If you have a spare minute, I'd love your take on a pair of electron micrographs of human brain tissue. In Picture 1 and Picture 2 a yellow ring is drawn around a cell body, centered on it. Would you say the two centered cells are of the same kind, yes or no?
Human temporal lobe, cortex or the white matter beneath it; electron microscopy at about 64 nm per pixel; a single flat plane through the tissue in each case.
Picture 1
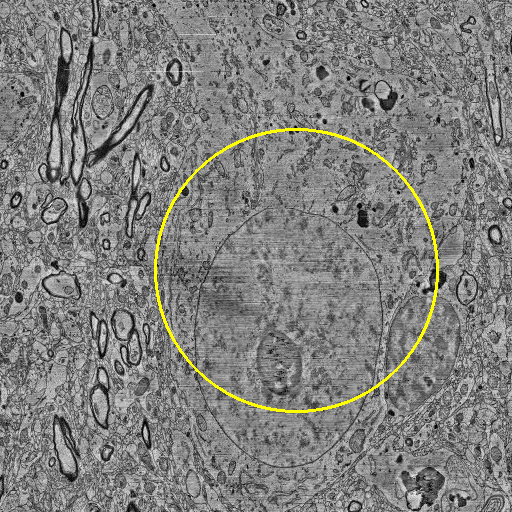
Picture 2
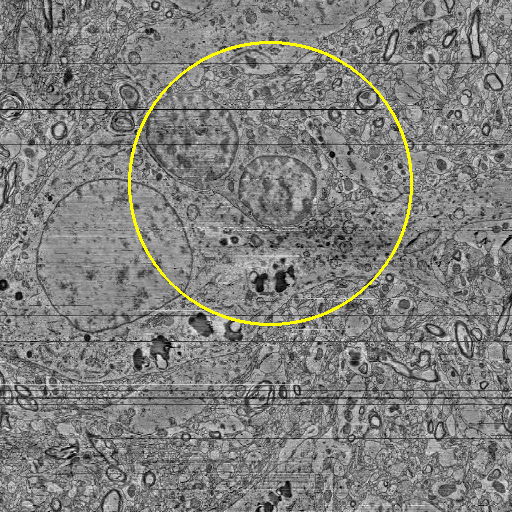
no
